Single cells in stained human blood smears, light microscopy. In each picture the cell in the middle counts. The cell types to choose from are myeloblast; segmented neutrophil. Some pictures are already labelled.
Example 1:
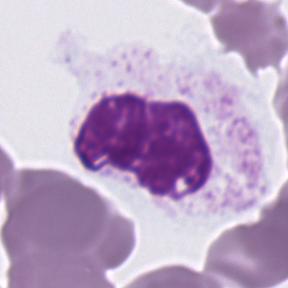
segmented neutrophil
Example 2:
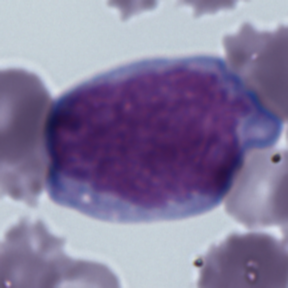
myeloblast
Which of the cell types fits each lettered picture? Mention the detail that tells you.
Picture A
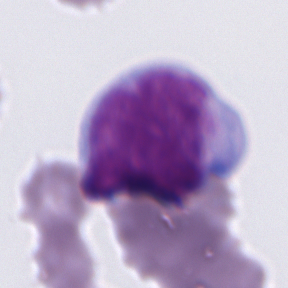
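myeloblast. The cytoplasm is a scant rim that is widest on the right side.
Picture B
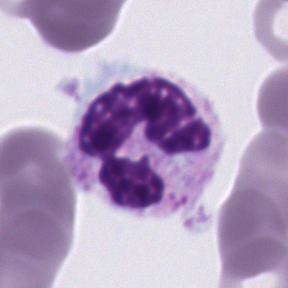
segmented neutrophil. The nucleus is divided into several lobes curving around a pale central area.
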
